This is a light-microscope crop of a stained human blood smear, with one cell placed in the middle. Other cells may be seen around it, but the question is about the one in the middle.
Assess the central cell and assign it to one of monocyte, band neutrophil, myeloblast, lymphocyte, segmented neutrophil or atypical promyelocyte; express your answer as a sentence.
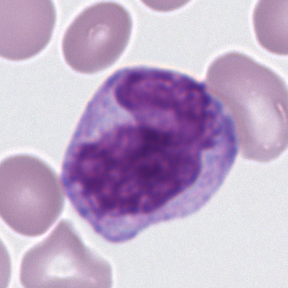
Looking at the middle of the crop, the cell there is an atypical promyelocyte.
